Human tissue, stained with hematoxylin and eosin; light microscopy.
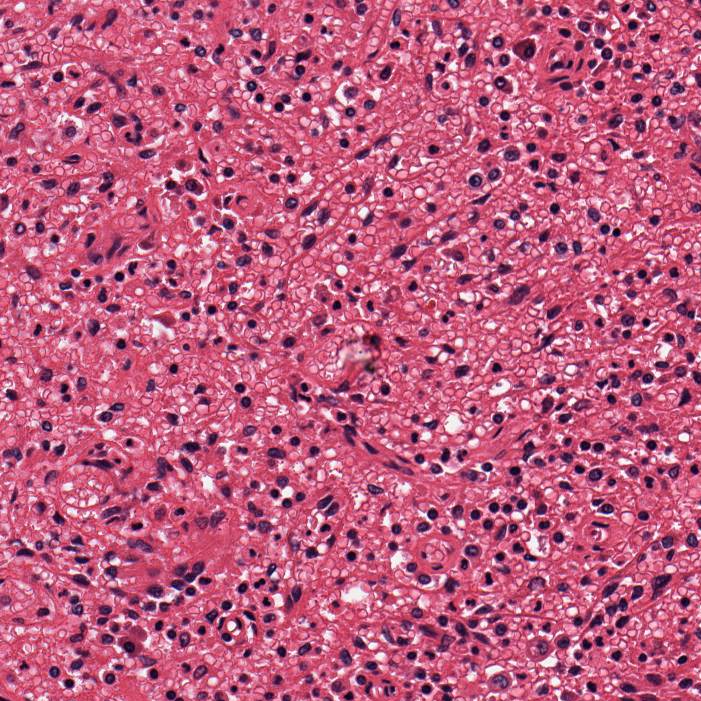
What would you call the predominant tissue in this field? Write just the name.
red pulp of the spleen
